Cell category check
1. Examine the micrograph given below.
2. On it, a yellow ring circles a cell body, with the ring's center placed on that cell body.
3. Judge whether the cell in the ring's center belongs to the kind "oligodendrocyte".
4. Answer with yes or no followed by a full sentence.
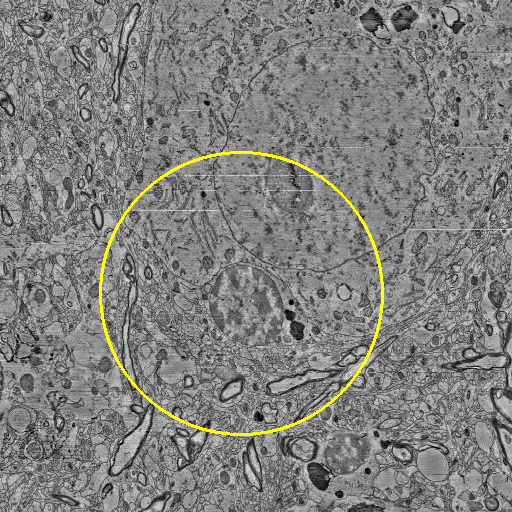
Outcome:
Yes, the cell at the center of the yellow ring belongs to that kind.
